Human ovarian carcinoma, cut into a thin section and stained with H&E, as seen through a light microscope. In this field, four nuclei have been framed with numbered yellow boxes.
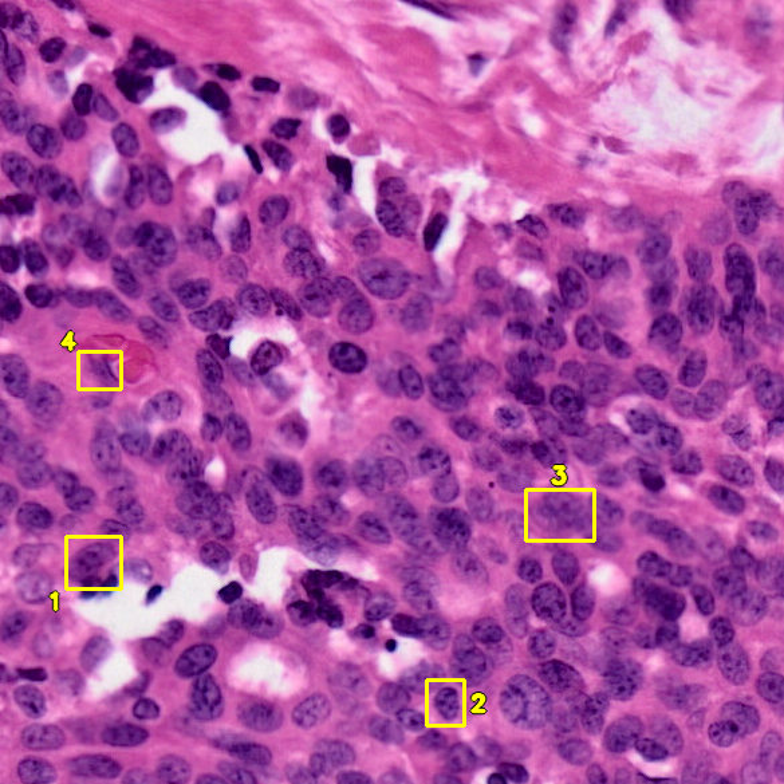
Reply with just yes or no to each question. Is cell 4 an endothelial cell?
yes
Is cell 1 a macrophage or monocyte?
no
